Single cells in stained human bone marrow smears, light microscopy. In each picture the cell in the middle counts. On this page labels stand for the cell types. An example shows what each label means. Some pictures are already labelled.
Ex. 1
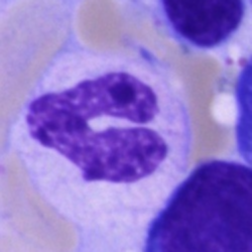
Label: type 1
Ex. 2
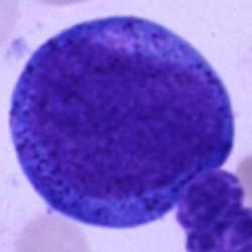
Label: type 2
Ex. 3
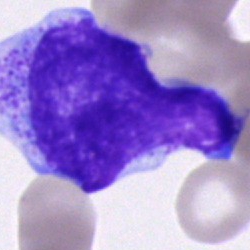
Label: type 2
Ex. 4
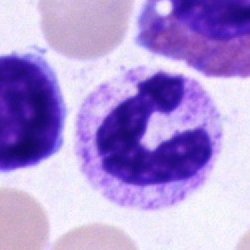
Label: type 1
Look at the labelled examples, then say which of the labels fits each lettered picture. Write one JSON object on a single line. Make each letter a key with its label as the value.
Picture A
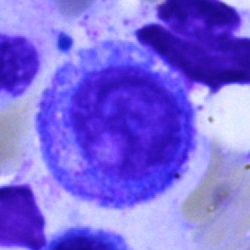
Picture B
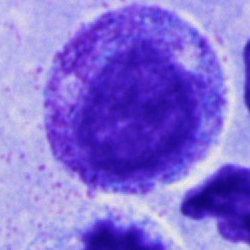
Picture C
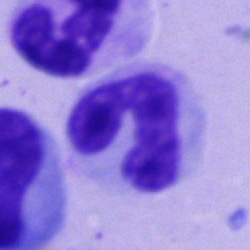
{"A": "type 2", "B": "type 2", "C": "type 1"}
